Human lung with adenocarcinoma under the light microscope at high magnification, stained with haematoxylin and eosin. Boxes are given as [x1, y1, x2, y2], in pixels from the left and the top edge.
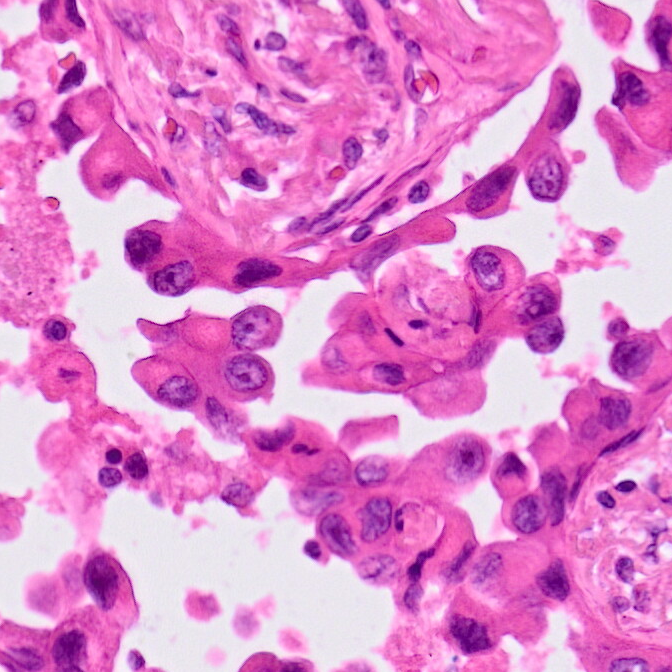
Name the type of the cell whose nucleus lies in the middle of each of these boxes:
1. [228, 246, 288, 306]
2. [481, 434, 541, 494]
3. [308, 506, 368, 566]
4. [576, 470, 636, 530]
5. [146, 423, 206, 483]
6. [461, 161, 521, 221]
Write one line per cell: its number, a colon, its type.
1: carcinoma cell
2: carcinoma cell
3: carcinoma cell
4: lymphocyte
5: macrophage or monocyte
6: carcinoma cell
